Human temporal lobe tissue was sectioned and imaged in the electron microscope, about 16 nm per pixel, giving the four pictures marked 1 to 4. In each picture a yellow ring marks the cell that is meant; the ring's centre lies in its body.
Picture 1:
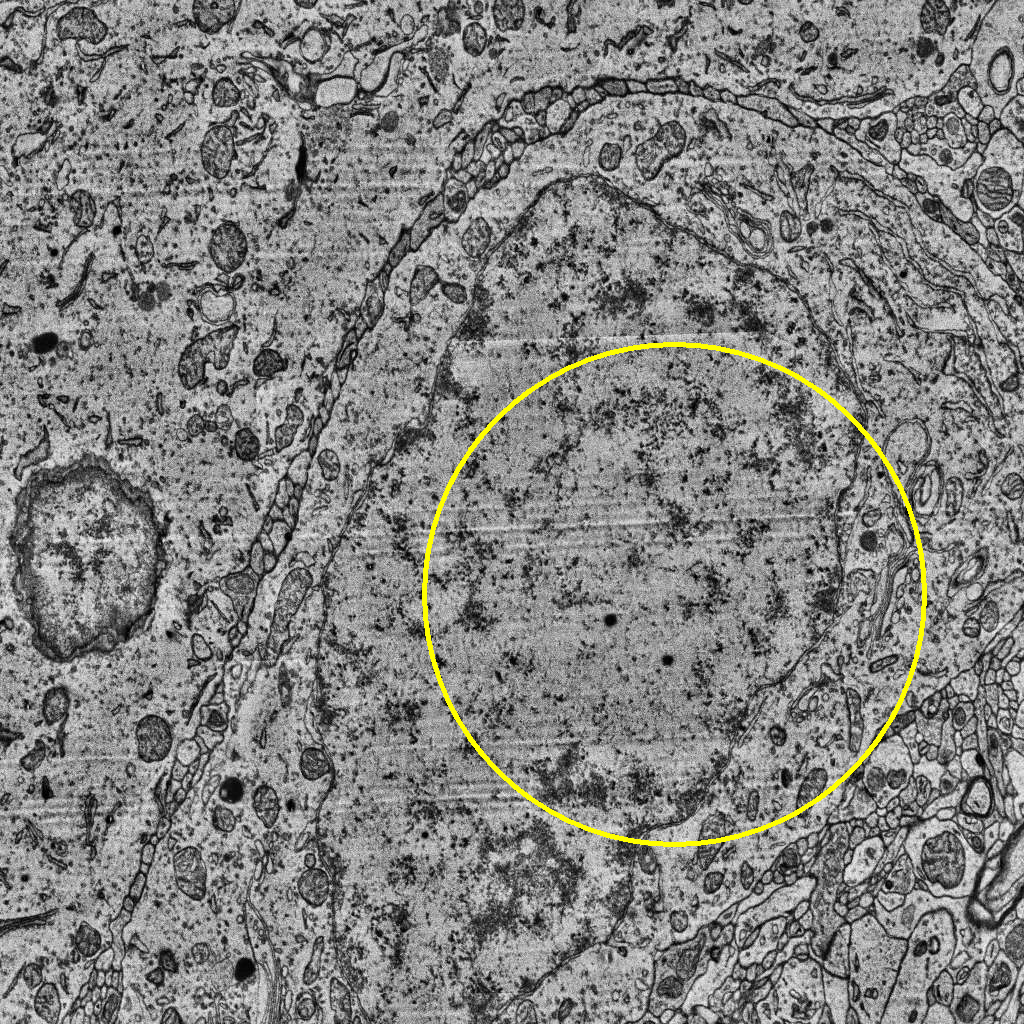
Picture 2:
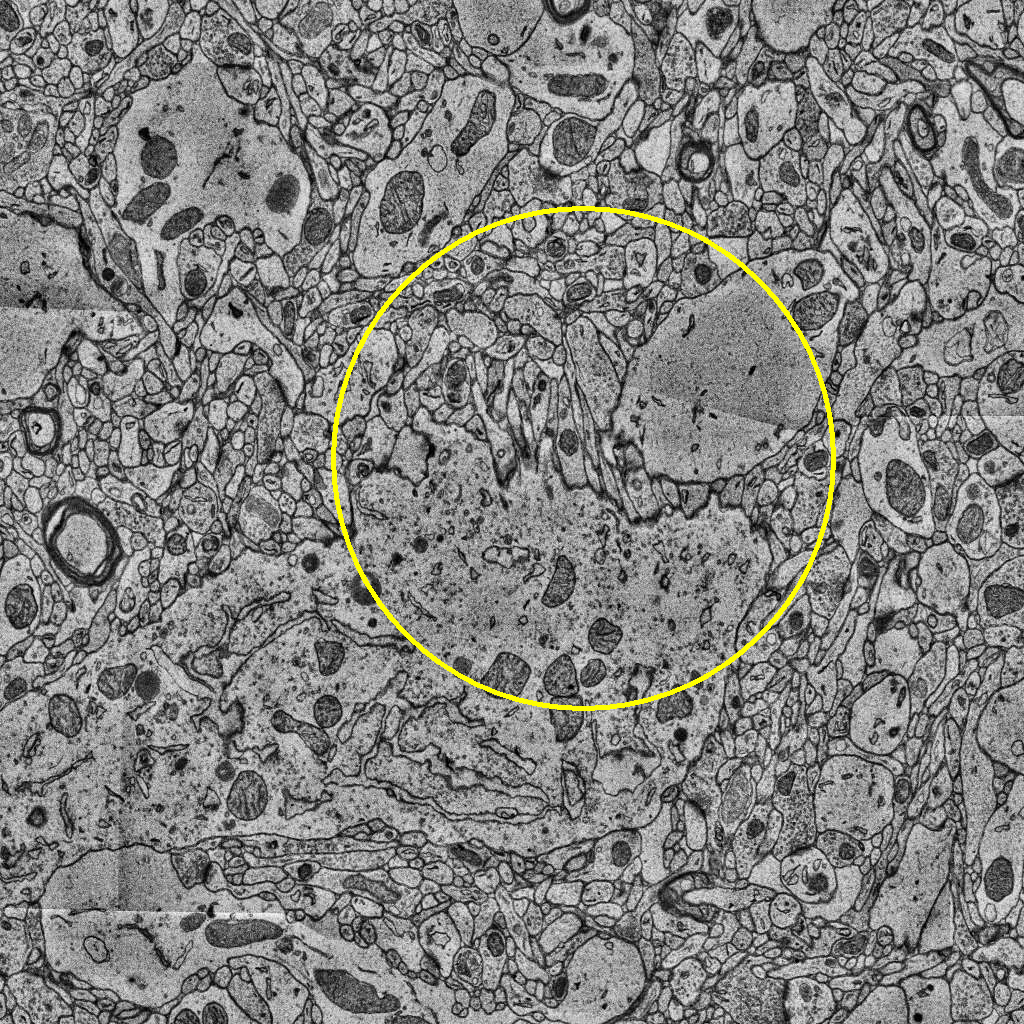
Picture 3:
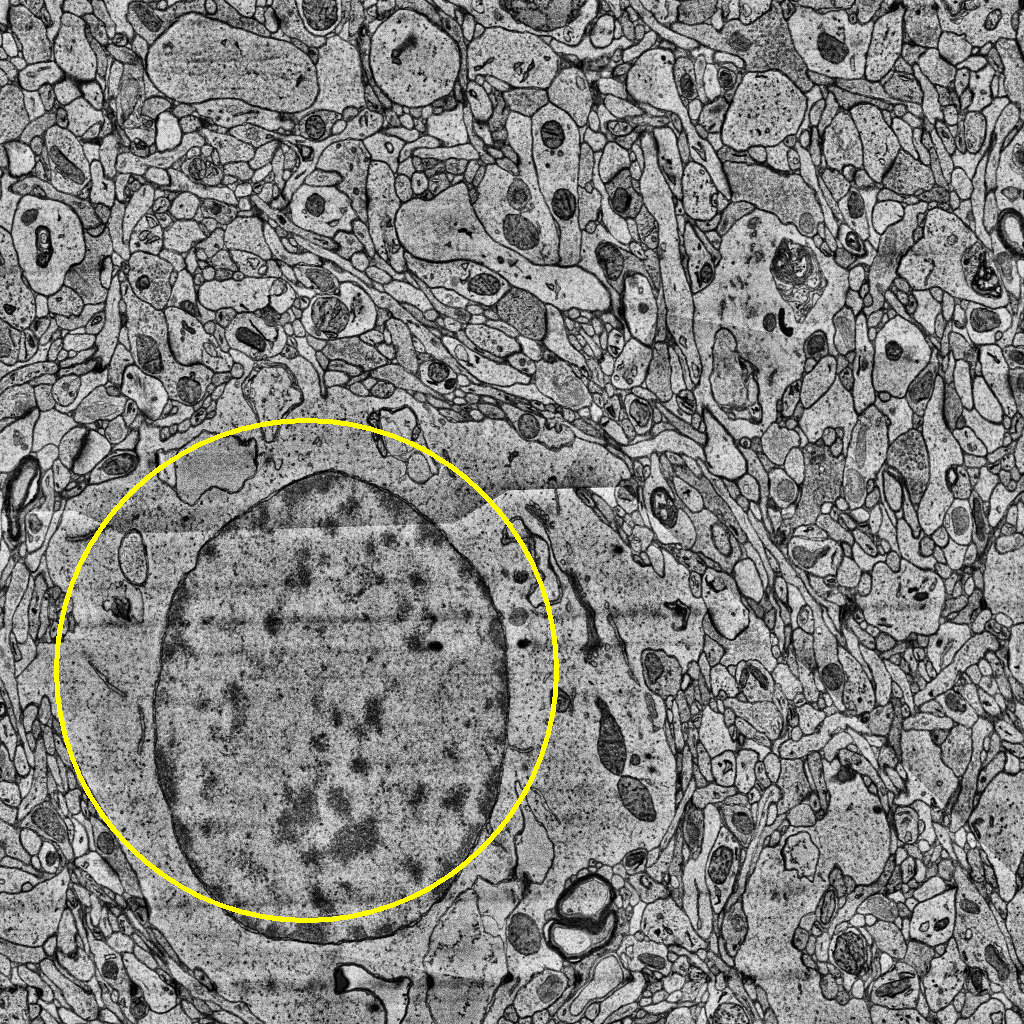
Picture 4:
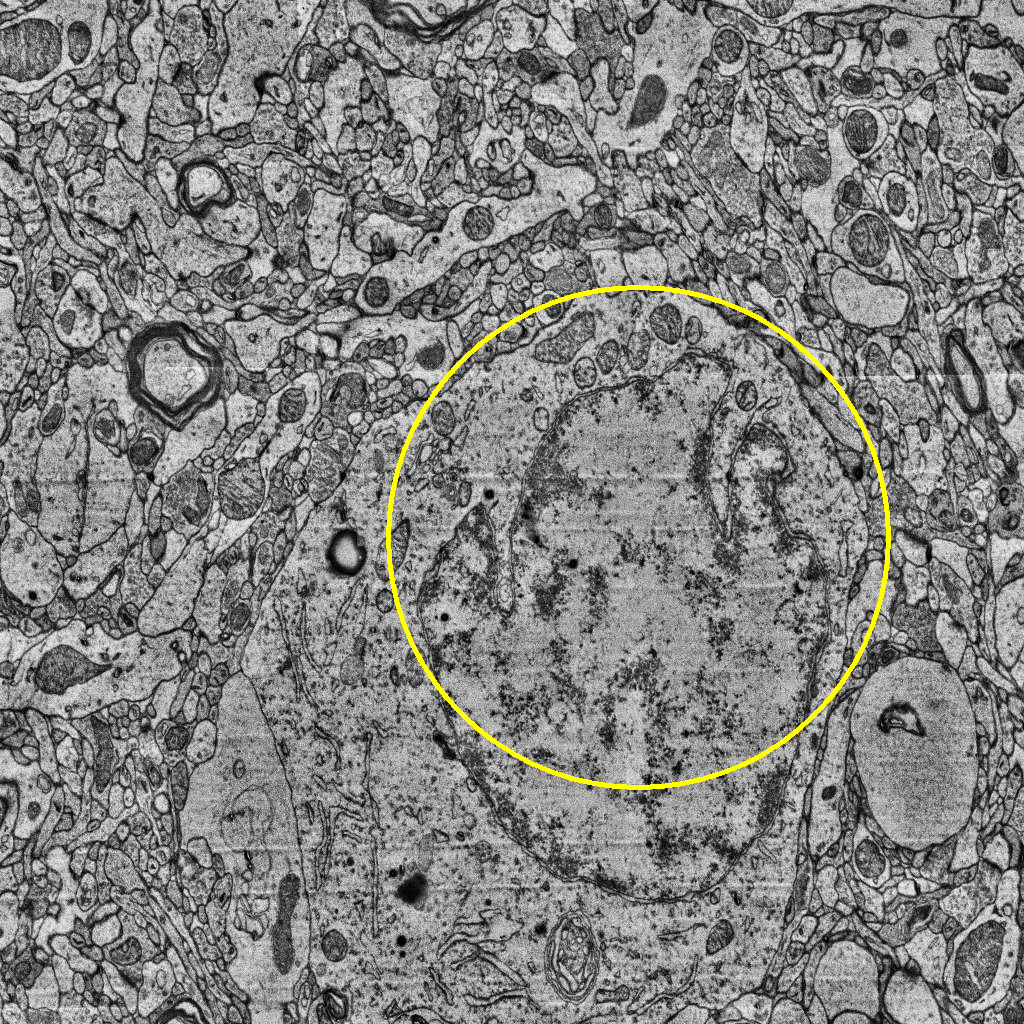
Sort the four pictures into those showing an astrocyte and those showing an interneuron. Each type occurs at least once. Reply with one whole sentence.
Picture 3 shows an astrocyte, and pictures 1, 2 and 4 show interneurons.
